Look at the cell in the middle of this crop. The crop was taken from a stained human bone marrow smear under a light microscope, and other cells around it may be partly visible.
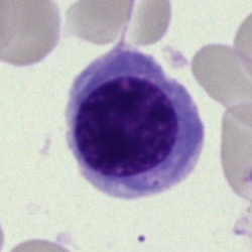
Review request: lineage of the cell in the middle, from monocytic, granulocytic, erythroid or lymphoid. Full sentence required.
The middle cell should be classed under the erythroid lineage.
